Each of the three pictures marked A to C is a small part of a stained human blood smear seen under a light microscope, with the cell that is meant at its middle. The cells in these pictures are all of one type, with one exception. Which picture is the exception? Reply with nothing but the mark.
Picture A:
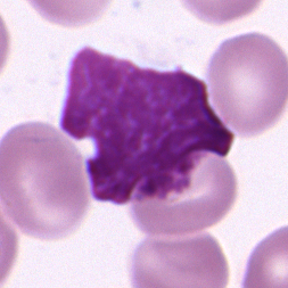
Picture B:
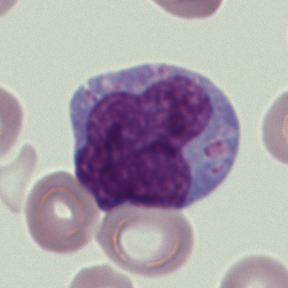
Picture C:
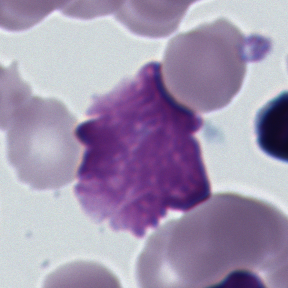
B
